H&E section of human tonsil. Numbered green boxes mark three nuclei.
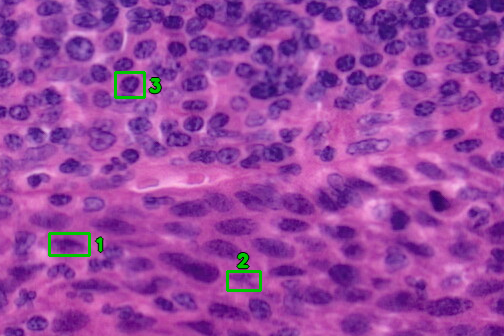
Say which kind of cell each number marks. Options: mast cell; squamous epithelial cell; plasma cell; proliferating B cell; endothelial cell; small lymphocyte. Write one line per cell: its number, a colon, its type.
1: squamous epithelial cell
2: squamous epithelial cell
3: plasma cell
